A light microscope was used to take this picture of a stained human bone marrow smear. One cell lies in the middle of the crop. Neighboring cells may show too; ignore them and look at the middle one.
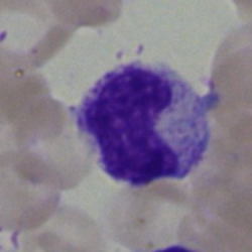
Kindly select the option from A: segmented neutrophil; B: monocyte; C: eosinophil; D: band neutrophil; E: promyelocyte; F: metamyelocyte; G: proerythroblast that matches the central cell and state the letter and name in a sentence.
The cell shown centrally is a band neutrophil; option D is the correct option.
